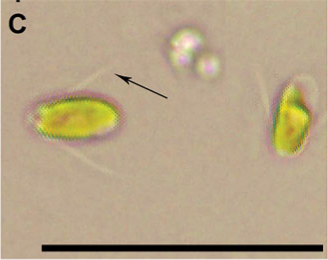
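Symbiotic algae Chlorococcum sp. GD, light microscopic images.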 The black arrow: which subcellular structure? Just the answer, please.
Flagella.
